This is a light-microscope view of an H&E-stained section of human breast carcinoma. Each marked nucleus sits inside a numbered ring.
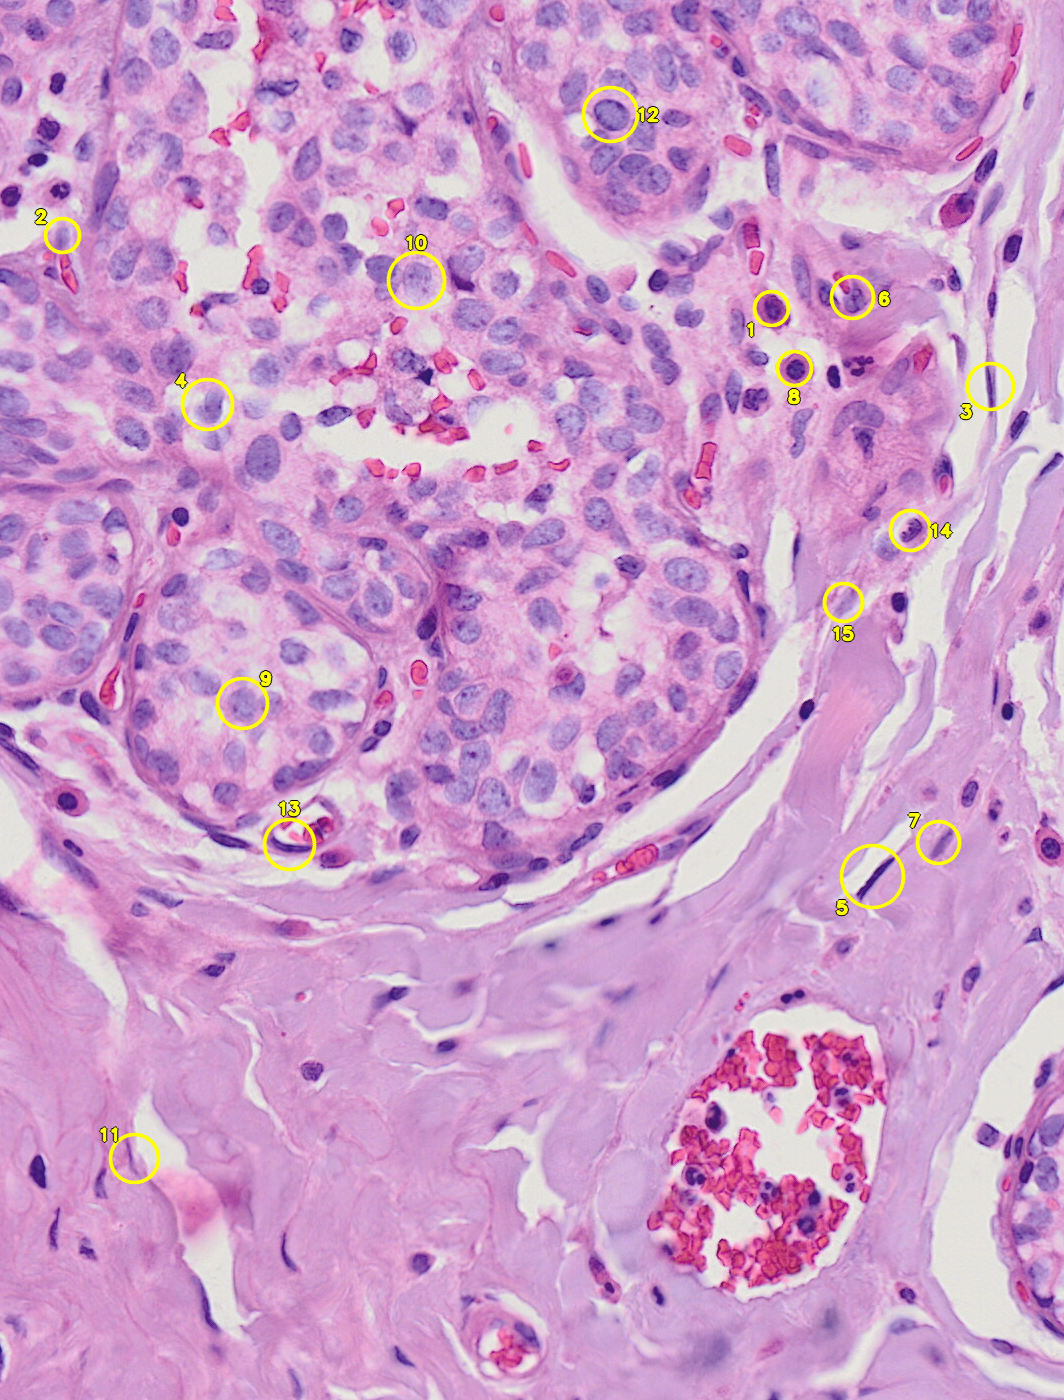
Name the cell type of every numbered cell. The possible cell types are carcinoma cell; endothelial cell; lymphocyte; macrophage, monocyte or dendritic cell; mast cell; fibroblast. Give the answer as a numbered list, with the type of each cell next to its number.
1. mast cell
2. endothelial cell
3. fibroblast
4. carcinoma cell
5. fibroblast
6. endothelial cell
7. fibroblast
8. mast cell
9. carcinoma cell
10. carcinoma cell
11. fibroblast
12. carcinoma cell
13. endothelial cell
14. macrophage, monocyte or dendritic cell
15. fibroblast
